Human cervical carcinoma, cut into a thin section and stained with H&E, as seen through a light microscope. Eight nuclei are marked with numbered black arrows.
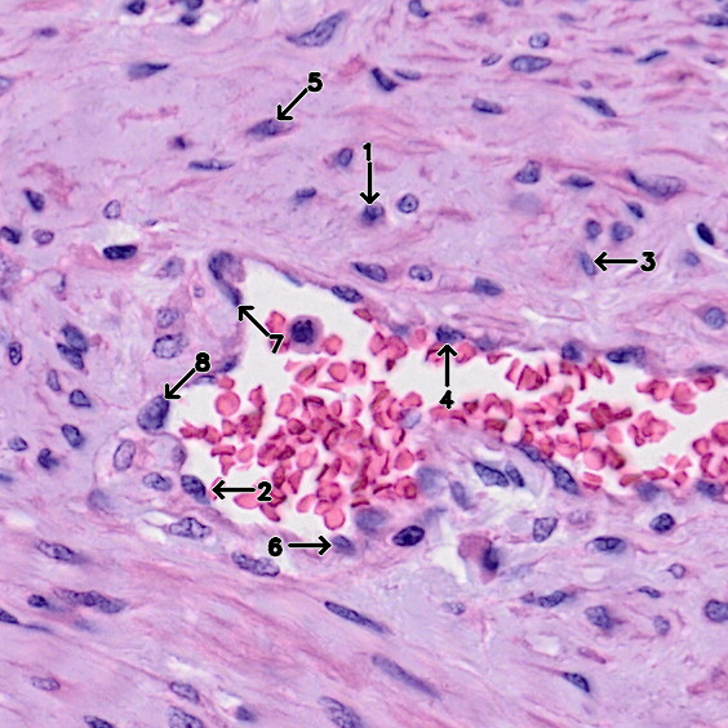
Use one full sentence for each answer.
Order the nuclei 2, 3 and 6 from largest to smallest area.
Going from the biggest nucleus down to the smallest gives 2, 6, 3.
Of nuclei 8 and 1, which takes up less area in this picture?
Number 1 is smaller, since number 8 takes up about 2.5 times as much area.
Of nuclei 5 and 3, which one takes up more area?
Nucleus 5 covers more area, about 2.5 times as much as nucleus 3.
